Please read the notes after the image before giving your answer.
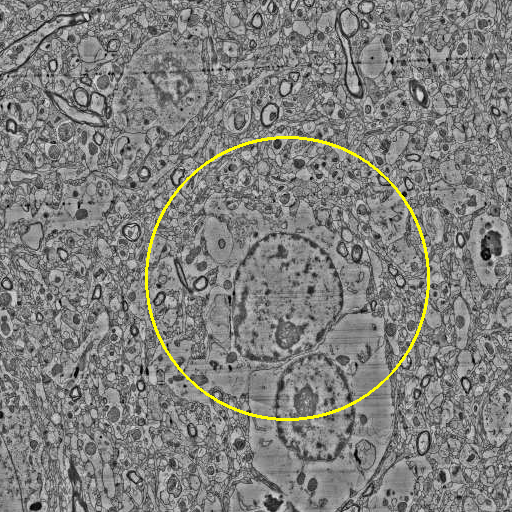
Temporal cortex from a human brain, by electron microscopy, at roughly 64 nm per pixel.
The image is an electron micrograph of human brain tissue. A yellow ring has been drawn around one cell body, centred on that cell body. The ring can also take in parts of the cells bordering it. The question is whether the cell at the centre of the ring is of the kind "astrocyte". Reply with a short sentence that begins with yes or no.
Yes, the cell at the centre is of that kind.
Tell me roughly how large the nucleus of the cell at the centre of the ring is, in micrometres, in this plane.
The nucleus comes to roughly 8 by 7 micrometres in this plane.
